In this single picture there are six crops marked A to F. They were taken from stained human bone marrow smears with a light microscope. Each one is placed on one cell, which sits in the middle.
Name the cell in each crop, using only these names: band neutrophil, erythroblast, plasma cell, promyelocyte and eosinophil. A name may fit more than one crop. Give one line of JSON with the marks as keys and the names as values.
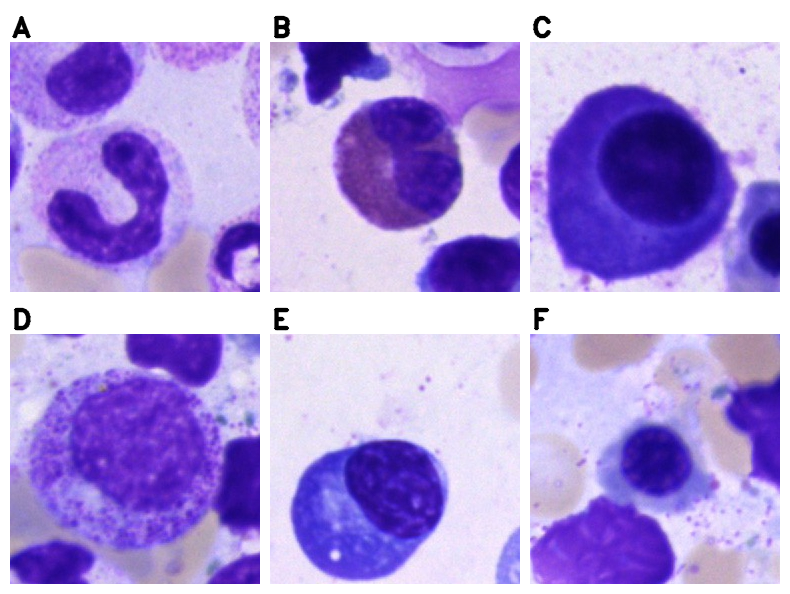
{"A": "band neutrophil", "B": "eosinophil", "C": "plasma cell", "D": "promyelocyte", "E": "plasma cell", "F": "erythroblast"}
